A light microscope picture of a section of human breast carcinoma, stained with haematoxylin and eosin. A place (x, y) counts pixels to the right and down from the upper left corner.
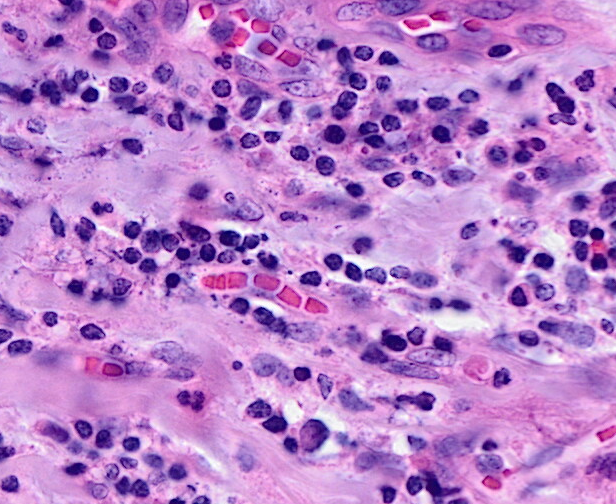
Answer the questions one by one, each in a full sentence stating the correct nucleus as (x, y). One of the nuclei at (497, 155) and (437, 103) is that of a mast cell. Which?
Identify the nucleus at (497, 155) as the one belonging to a mast cell.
